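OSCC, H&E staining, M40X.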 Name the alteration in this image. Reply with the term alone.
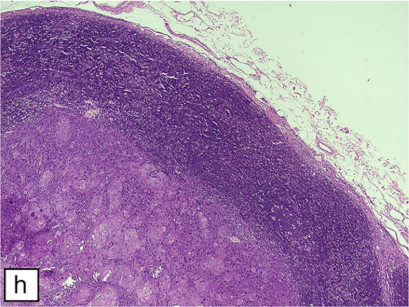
Lymph node metastases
